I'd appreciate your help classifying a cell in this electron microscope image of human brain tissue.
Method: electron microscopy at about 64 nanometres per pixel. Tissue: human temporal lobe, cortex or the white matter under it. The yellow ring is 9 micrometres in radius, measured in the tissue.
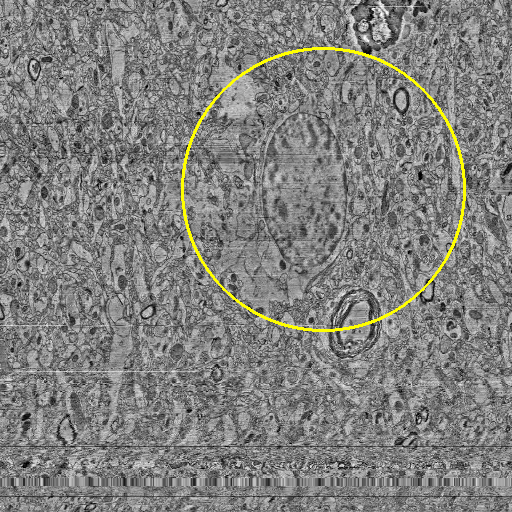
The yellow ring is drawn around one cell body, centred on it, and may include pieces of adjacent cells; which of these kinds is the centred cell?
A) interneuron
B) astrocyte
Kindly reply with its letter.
B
